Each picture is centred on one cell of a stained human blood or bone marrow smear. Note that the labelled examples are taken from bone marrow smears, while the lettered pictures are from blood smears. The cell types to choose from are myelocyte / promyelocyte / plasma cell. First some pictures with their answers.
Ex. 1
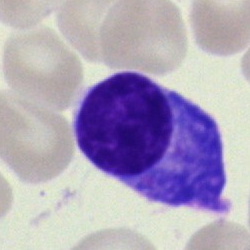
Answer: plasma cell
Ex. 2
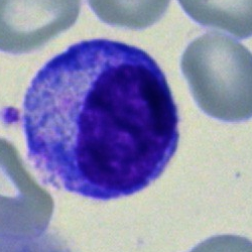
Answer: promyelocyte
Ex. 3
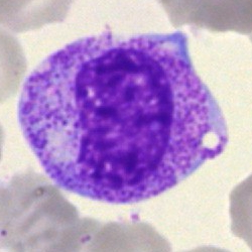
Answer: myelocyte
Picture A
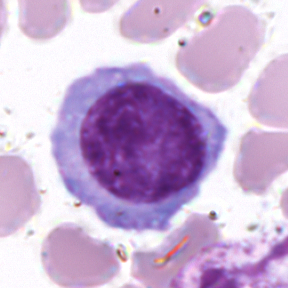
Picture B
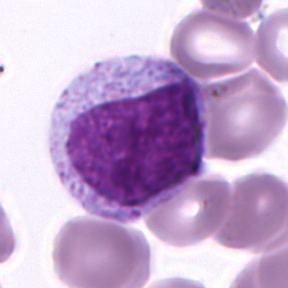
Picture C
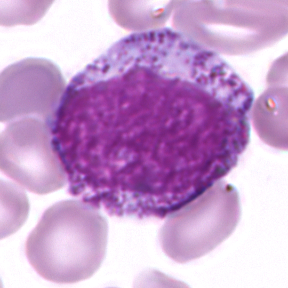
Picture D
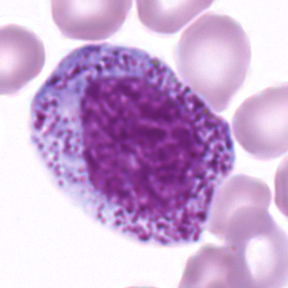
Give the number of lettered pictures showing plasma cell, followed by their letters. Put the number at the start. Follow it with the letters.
1, namely A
